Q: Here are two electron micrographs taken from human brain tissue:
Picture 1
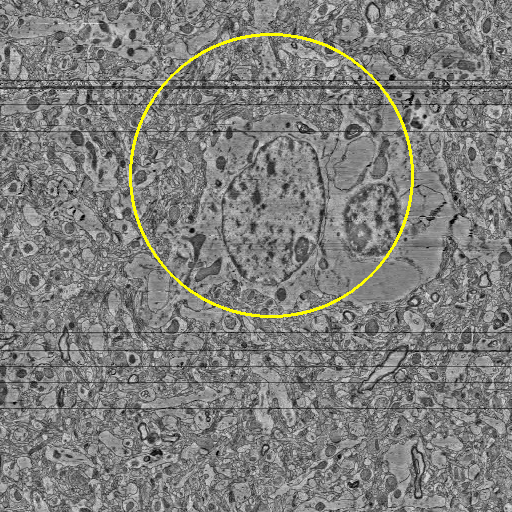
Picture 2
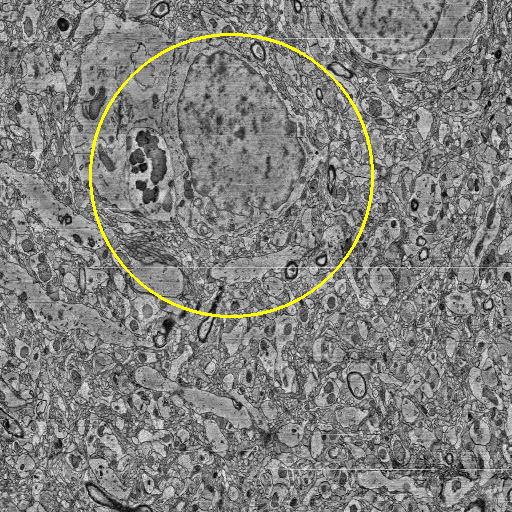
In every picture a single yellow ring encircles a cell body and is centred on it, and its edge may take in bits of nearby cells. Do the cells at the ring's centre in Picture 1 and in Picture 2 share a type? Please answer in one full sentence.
No, the cells at the ring's centre in Picture 1 and Picture 2 are of two types.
